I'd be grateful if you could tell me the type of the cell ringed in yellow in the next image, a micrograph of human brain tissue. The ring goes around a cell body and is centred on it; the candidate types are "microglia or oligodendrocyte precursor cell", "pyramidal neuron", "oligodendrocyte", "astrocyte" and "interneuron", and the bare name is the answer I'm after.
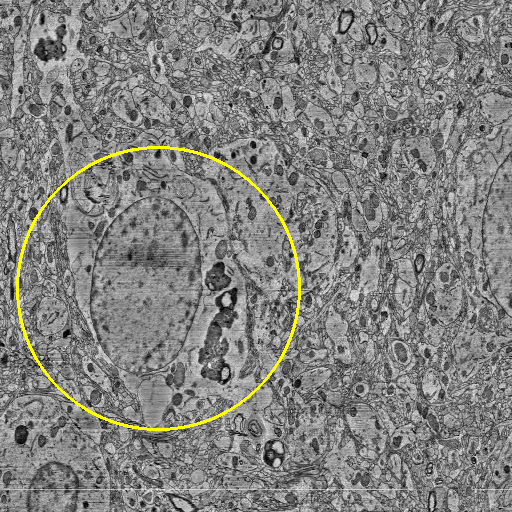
astrocyte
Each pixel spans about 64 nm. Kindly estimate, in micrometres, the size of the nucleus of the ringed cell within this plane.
The nucleus is approximately 12 micrometres long but only about 7 wide, clearly longer than it is wide in this plane.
